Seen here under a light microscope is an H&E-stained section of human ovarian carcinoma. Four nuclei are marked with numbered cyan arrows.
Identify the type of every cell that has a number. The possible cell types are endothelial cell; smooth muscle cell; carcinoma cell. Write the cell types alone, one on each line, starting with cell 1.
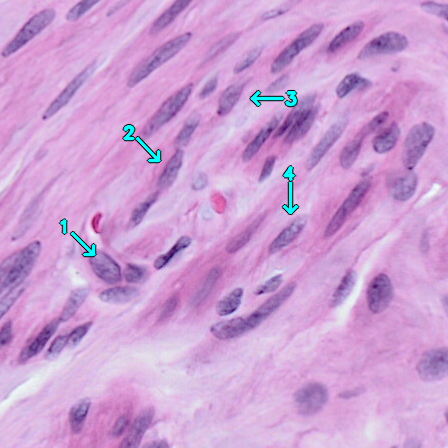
endothelial cell
smooth muscle cell
smooth muscle cell
smooth muscle cell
